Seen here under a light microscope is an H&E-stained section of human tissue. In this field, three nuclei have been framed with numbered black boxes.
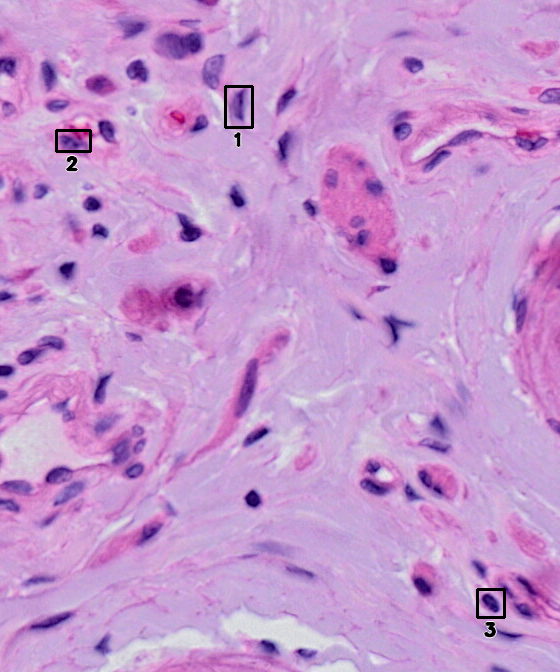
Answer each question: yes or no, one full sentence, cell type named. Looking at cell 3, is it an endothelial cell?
No, the cell under number 3 is a lymphocyte instead of an endothelial cell.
